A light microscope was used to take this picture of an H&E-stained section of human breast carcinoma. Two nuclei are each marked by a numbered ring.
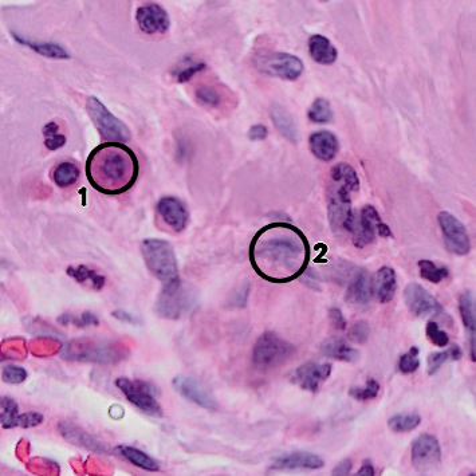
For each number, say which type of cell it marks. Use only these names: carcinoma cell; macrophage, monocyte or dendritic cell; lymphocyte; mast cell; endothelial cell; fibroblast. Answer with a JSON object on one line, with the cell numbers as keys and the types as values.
{"1": "mast cell", "2": "fibroblast"}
